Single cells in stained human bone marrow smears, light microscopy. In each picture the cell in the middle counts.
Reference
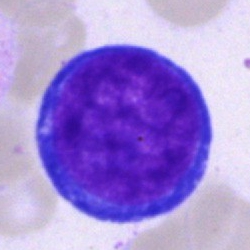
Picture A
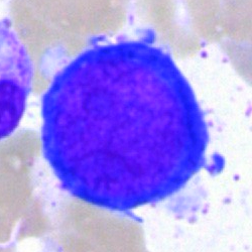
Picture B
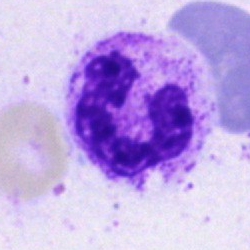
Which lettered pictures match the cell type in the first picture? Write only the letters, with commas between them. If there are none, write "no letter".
A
